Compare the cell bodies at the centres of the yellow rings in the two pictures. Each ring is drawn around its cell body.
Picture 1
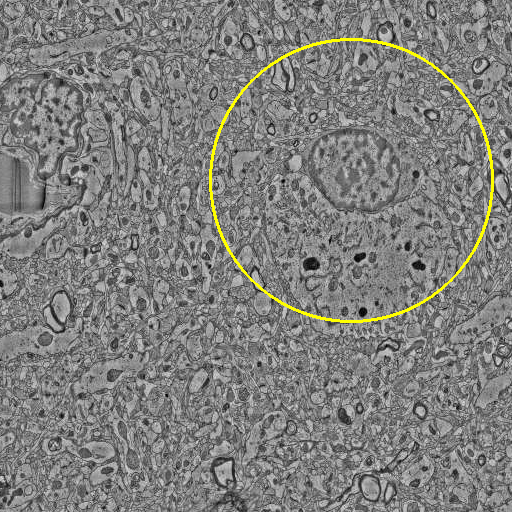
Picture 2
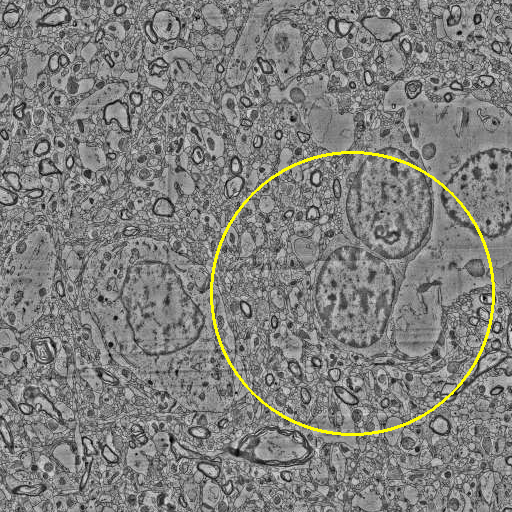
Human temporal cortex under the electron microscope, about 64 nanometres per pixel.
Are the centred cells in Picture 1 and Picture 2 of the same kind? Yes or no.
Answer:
yes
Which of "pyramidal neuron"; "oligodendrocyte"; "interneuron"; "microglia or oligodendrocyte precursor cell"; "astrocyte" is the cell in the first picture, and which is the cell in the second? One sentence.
The cell in the first picture is an oligodendrocyte, and so is the one in the second.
